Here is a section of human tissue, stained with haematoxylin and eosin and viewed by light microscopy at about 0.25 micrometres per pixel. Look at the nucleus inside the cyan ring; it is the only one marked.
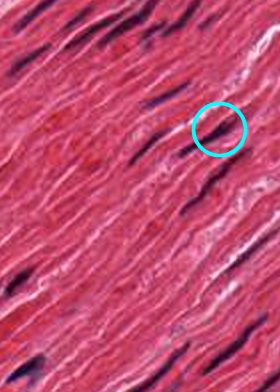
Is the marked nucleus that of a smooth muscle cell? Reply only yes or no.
yes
